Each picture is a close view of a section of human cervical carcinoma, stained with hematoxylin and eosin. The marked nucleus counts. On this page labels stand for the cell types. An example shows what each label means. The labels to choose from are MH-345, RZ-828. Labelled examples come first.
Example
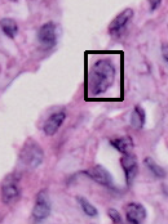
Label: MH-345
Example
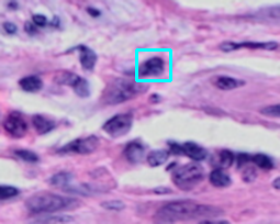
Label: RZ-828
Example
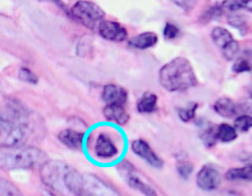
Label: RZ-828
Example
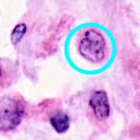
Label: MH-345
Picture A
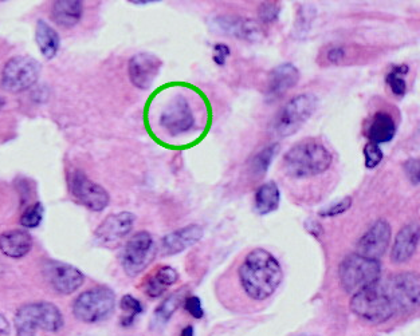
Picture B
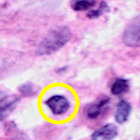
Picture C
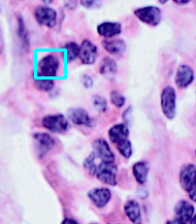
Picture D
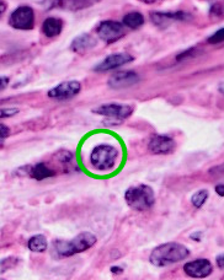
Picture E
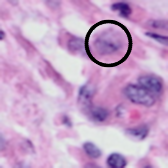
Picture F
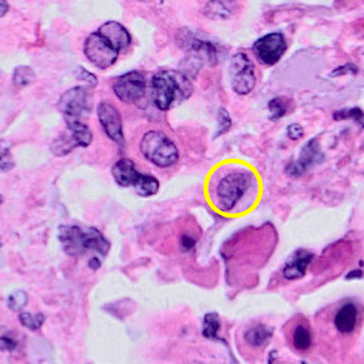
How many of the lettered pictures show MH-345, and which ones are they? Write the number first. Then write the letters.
3: A, E, F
